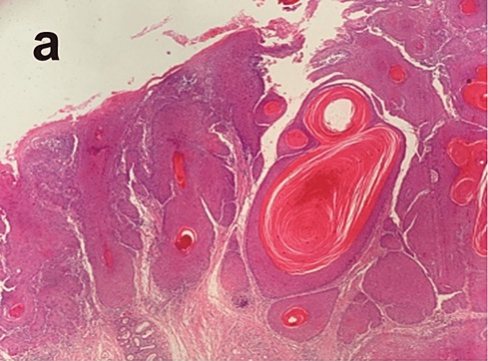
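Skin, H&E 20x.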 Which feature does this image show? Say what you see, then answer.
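Cell nests of squamous epithelial cells. Rounded nests of pink-staining epithelial cells. The nests surround concentric layered keratin in their centres.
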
